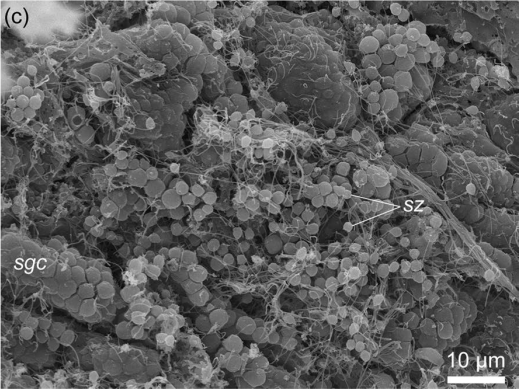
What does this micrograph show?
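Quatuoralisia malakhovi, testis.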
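This is the lumenal surface of an epithelium seen by scanning electron microscopy. Large rounded cell masses form the underlying surface. On top of them lie many small, smooth, spherical bodies of fairly uniform size. A tangle of fine thread-like filaments winds among the spheres. These small spheres with threads are free reproductive cells, their heads and tails, lying over the columns of developing germ cells.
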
